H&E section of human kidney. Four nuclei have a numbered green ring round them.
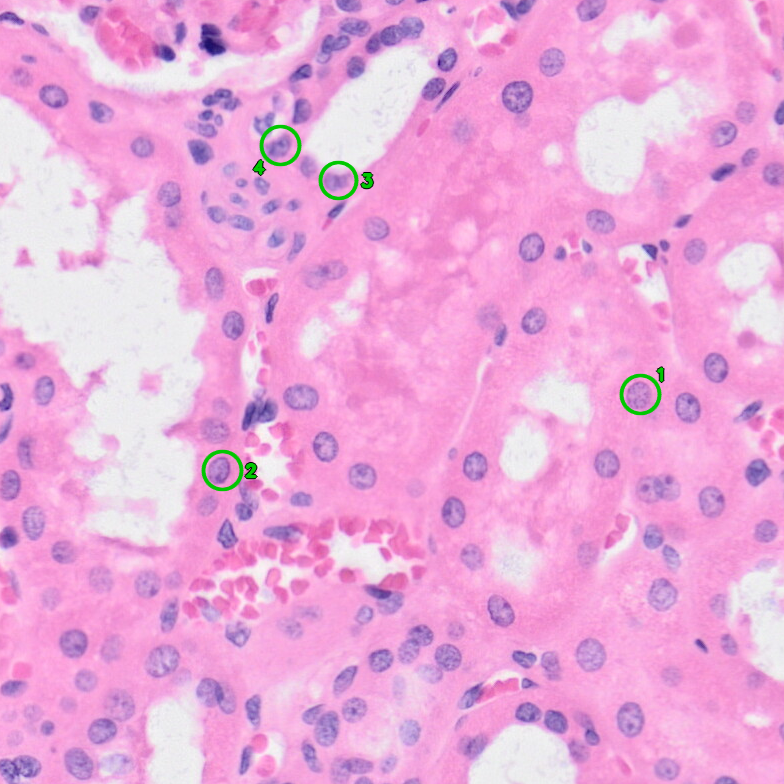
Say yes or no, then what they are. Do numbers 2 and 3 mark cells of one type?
No, in contrast to cell 2, which is a proximal tubule cell, cell 3 is a loop of Henle or distal tubule cell.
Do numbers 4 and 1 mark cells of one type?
No, cell 1 is a proximal tubule cell, and cell 4 is a loop of Henle or distal tubule cell.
